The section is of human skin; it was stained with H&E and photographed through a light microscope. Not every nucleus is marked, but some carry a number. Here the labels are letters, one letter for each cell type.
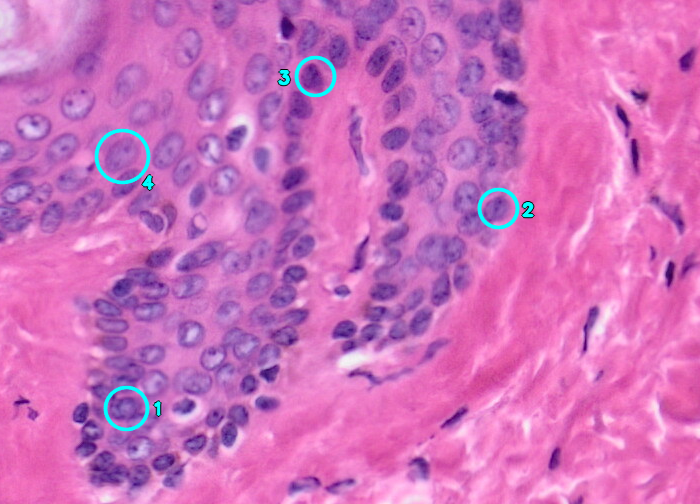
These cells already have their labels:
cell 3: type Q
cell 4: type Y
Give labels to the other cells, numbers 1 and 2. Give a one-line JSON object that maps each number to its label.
{"1": "type Q", "2": "type Q"}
